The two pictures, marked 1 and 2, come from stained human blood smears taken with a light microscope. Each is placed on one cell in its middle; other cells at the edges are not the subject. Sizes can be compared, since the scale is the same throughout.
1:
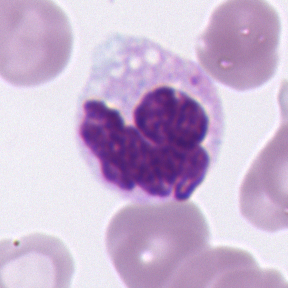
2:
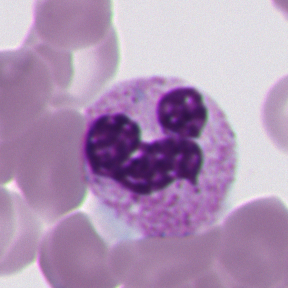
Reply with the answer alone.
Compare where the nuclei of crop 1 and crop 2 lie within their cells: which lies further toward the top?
2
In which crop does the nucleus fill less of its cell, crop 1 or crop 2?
2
